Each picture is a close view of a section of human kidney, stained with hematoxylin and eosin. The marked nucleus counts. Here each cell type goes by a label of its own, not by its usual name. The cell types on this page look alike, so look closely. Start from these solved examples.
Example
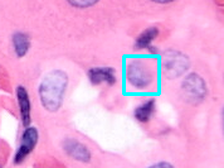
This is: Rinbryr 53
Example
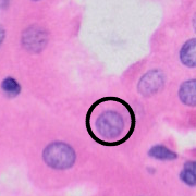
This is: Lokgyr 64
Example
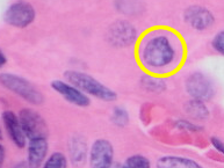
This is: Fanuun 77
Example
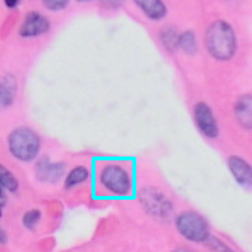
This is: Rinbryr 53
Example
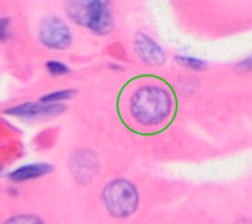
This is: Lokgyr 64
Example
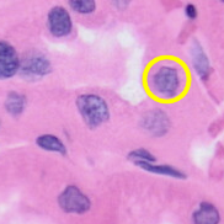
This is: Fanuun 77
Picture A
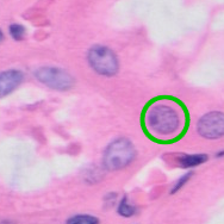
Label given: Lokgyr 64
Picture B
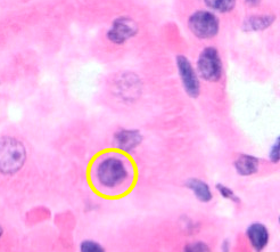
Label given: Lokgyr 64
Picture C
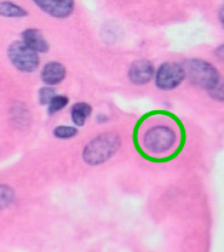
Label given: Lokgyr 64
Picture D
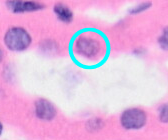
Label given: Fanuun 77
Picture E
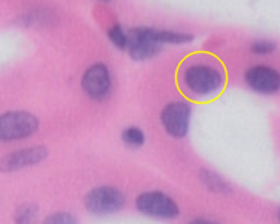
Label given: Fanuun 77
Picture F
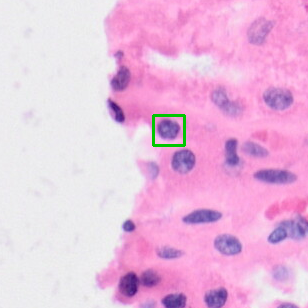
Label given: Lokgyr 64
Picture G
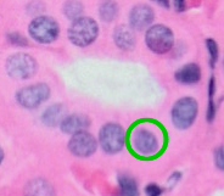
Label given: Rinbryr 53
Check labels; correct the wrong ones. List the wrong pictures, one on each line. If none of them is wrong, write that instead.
Wrong: F (Lokgyr 64); correct: Fanuun 77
